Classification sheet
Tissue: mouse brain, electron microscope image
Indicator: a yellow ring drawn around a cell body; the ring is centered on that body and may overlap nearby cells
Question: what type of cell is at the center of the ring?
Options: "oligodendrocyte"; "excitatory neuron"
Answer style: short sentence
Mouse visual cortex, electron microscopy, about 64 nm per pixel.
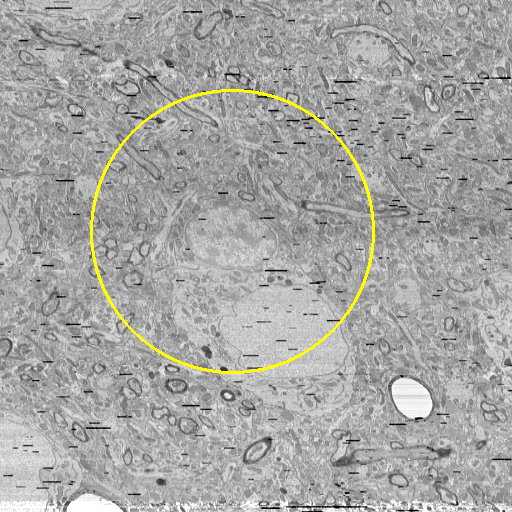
At the ring's center is an oligodendrocyte.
